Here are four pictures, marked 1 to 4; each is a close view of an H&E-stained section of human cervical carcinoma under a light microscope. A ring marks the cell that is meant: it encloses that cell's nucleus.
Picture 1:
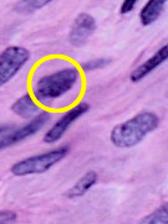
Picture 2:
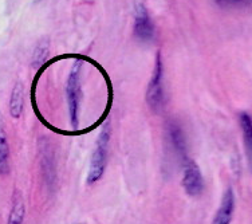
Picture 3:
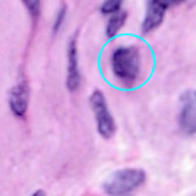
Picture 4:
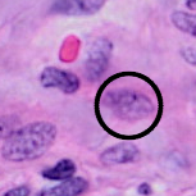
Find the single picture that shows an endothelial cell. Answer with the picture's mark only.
4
